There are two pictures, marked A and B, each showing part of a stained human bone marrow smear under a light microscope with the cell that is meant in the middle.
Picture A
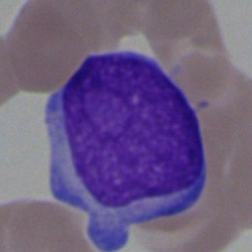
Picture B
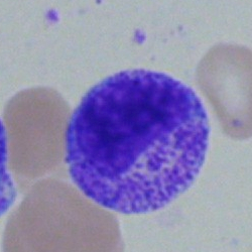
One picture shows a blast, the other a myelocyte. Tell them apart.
A: blast
B: myelocyte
